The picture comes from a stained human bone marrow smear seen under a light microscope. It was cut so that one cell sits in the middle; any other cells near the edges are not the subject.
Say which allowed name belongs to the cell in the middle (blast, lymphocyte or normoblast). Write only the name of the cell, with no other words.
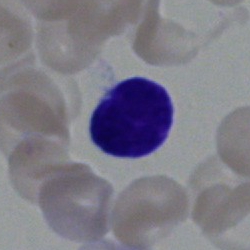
lymphocyte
